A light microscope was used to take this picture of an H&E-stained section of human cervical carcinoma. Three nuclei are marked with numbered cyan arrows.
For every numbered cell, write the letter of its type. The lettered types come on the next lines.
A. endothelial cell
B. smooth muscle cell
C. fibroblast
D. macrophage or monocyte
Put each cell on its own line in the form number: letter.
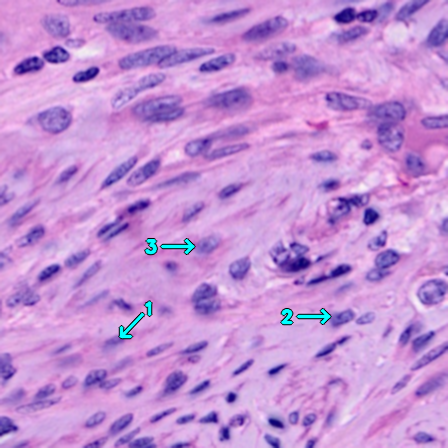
1: B
2: C
3: B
